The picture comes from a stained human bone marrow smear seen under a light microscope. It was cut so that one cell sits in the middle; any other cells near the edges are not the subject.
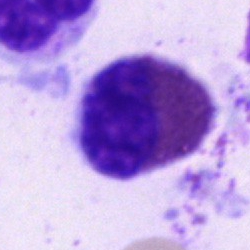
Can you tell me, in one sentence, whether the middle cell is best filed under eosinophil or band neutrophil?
What sits at the centre of this crop is an eosinophil.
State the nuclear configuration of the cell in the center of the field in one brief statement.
Have a look at the nucleus, which is one compact mass, round, oval or kidney-shaped.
